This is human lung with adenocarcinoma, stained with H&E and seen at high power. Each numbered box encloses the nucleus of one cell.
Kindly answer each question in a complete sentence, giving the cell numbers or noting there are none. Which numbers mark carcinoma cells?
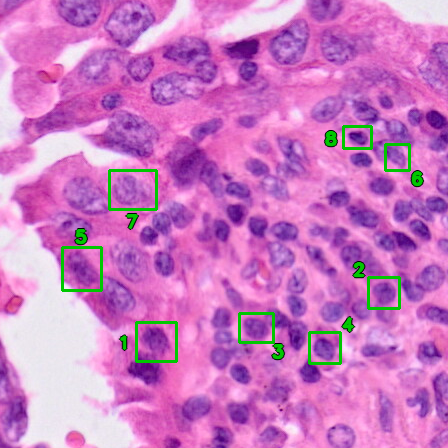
Cells 1, 5 and 7 are carcinoma cells by cell type.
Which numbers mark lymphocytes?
Each of the cells numbered 2, 6 and 8 is among the lymphocytes.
